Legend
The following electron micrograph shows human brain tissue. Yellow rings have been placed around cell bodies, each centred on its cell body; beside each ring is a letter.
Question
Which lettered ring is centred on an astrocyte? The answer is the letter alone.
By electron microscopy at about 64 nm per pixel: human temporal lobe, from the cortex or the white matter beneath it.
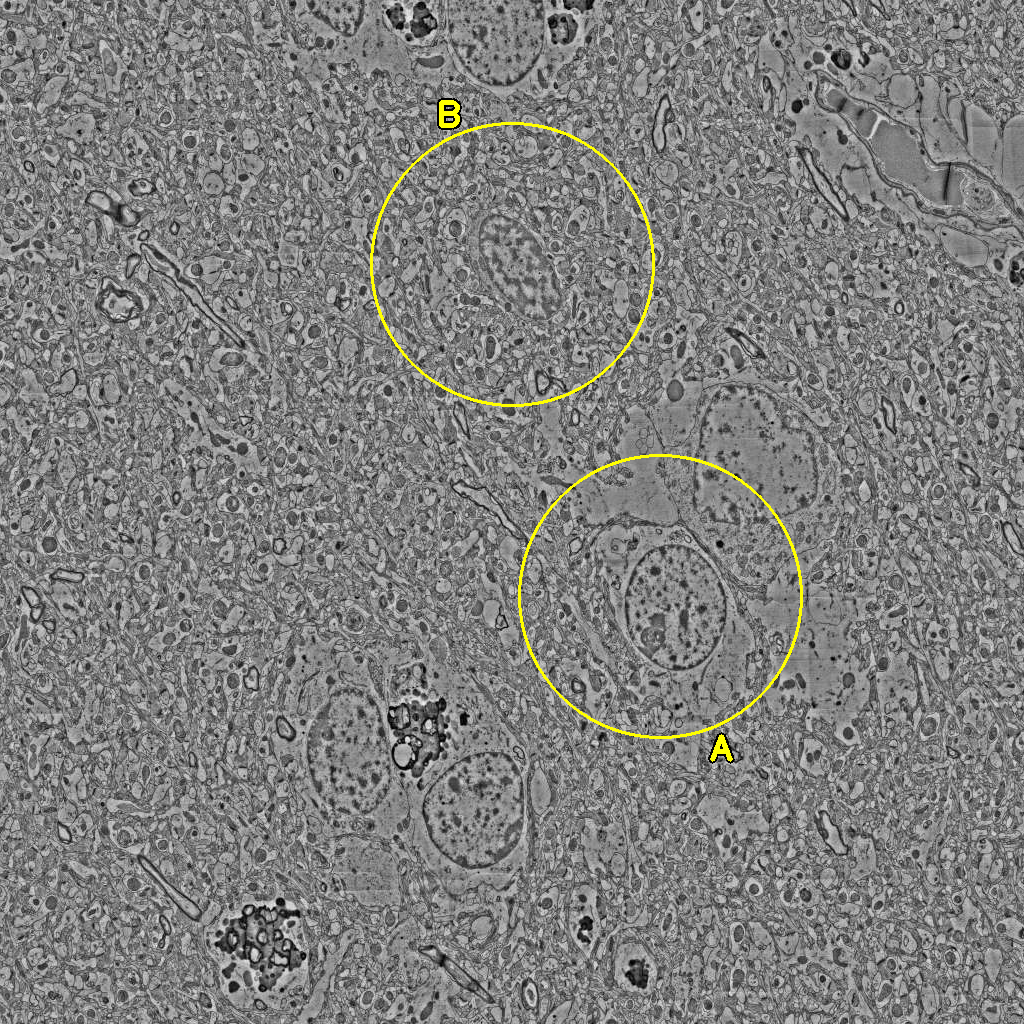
A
